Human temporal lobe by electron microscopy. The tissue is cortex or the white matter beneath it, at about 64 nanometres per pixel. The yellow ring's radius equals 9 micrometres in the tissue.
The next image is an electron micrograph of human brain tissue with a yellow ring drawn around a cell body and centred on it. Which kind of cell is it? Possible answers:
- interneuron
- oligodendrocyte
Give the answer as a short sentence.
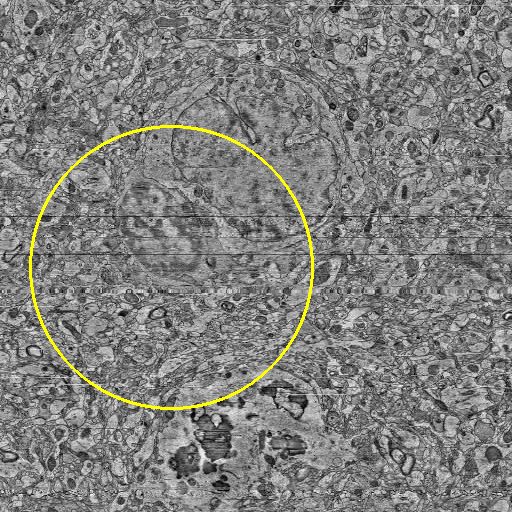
In the ring's centre is an oligodendrocyte.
